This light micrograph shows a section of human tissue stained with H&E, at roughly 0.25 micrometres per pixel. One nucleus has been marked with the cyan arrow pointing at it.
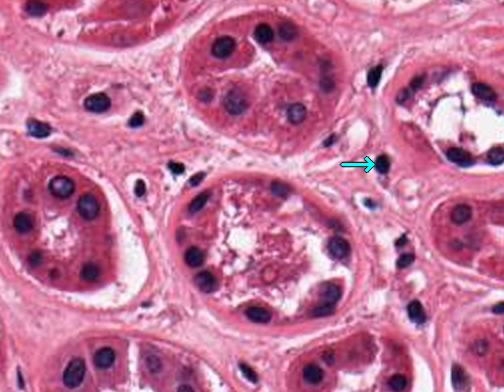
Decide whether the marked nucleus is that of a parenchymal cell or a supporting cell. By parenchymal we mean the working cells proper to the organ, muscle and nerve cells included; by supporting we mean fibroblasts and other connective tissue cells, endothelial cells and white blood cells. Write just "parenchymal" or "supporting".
supporting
